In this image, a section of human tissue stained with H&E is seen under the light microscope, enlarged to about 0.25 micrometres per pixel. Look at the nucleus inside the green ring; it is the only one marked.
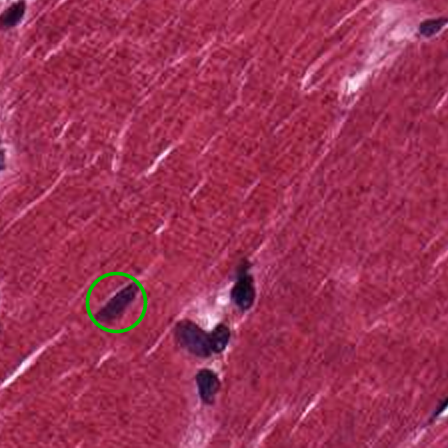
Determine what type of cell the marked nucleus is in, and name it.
skeletal muscle fibre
